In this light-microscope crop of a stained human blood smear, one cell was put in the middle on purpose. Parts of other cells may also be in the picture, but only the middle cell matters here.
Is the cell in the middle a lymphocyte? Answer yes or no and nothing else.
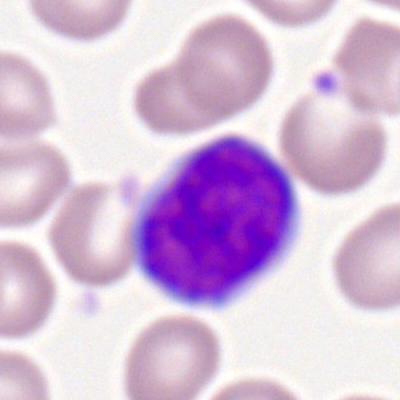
yes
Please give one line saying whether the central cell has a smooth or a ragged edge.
Worth noting that the cell border is smooth and lacks projections.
